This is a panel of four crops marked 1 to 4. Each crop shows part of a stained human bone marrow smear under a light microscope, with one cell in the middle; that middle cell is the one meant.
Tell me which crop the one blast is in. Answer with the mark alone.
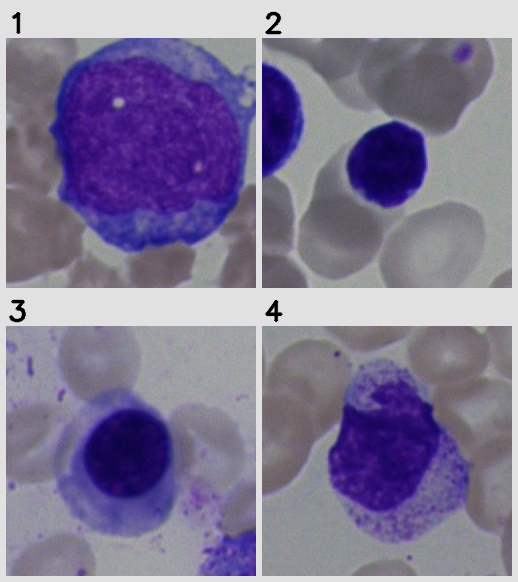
1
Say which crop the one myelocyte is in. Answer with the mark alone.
4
